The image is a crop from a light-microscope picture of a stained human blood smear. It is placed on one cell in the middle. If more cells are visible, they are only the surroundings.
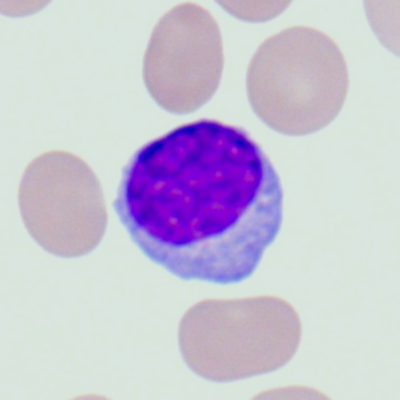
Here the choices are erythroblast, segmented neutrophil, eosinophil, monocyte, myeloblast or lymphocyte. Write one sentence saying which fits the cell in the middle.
Looking at the middle of the crop, the cell there is a lymphocyte.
